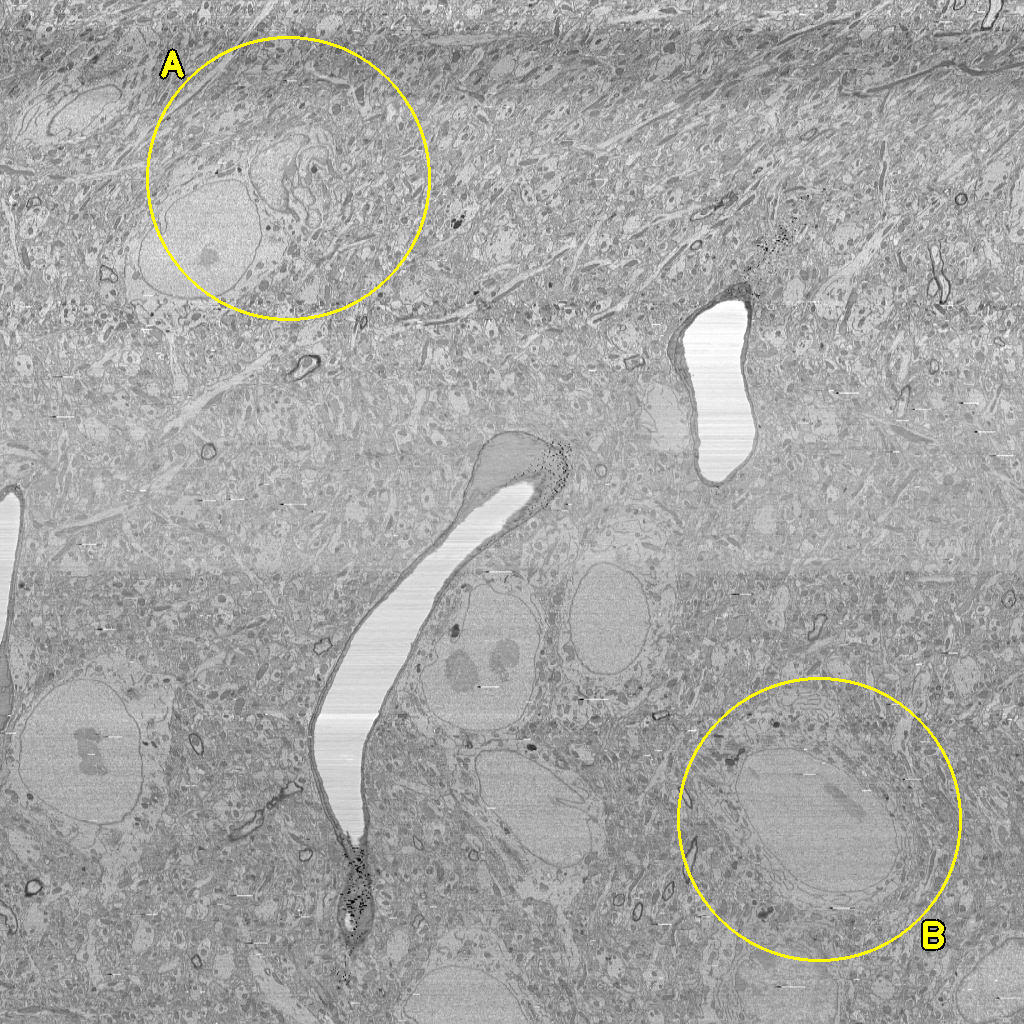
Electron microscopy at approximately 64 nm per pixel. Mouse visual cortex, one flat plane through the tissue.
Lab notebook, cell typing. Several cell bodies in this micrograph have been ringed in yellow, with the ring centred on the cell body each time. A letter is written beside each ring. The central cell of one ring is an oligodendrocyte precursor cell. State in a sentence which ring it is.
It is ring A.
